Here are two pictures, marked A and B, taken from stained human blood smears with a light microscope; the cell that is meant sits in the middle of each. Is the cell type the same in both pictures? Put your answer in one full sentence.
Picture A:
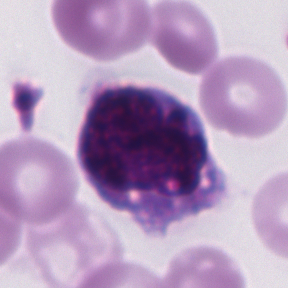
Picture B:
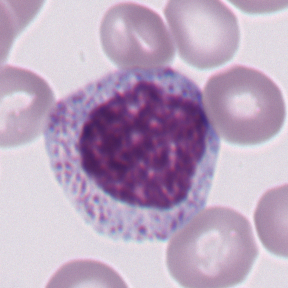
No. Picture A shows a monocyte, but picture B shows a myelocyte.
